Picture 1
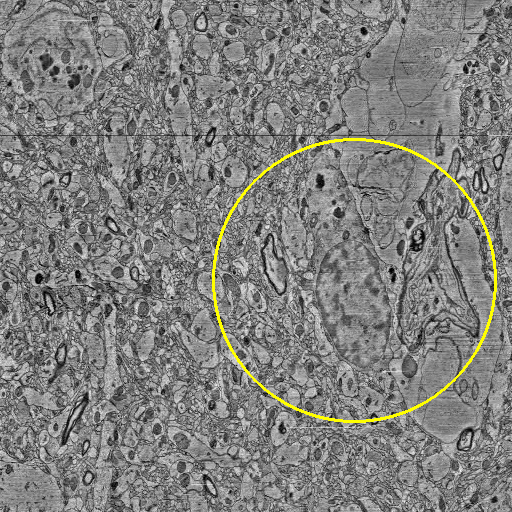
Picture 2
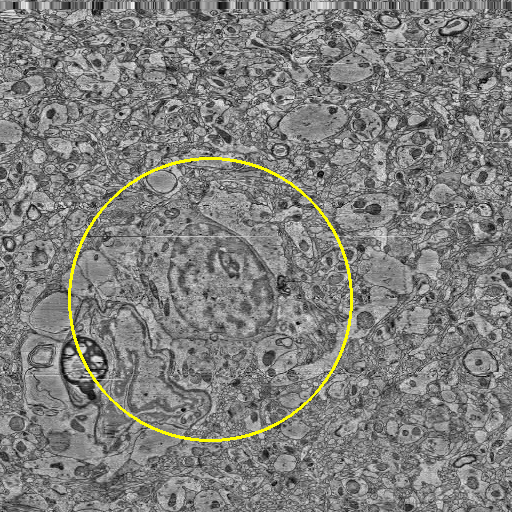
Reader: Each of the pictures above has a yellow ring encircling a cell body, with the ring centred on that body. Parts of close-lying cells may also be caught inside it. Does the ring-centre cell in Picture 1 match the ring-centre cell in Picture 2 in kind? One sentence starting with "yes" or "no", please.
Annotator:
Yes, Picture 1 and Picture 2 show ring-centre cells of a single kind.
